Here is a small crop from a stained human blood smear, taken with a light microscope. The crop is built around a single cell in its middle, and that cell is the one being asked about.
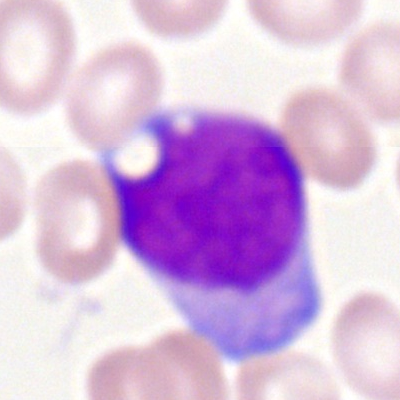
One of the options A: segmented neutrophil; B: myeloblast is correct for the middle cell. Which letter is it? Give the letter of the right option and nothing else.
B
